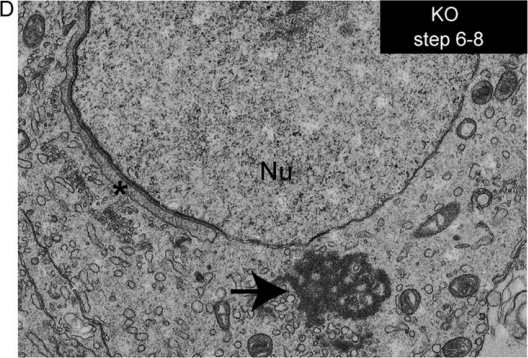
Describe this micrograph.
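Late round spermatid seen by transmission electron microscopy, with a large round nucleus capped on one side by the acrosome. The acrosome is a thin, flattened membrane-bound layer following the curve of the nuclear surface. In the cytoplasm below the nucleus lies the chromatoid body, a rounded lobulated dense mass with small pale spaces between its strands. Mitochondria and membranous vesicles are scattered in the surrounding cytoplasm.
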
